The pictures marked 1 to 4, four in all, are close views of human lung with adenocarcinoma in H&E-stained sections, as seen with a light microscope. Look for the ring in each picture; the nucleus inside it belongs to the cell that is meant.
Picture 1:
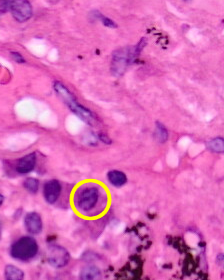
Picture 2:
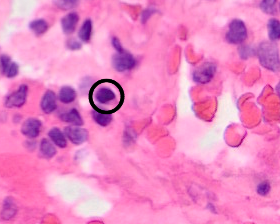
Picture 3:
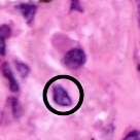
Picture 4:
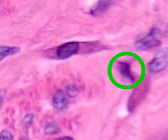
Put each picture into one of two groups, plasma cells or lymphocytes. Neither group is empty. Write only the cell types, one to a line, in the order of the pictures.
plasma cell
lymphocyte
lymphocyte
plasma cell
